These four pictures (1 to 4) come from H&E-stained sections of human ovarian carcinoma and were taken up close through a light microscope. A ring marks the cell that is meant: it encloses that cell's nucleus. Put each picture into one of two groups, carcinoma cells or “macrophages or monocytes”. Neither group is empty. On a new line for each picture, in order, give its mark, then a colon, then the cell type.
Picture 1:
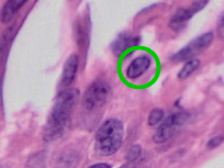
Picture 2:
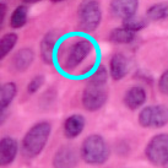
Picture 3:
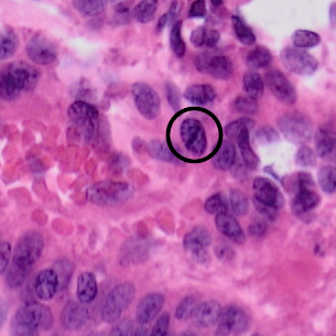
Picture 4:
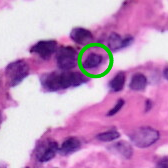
1: macrophage or monocyte
2: carcinoma cell
3: macrophage or monocyte
4: macrophage or monocyte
